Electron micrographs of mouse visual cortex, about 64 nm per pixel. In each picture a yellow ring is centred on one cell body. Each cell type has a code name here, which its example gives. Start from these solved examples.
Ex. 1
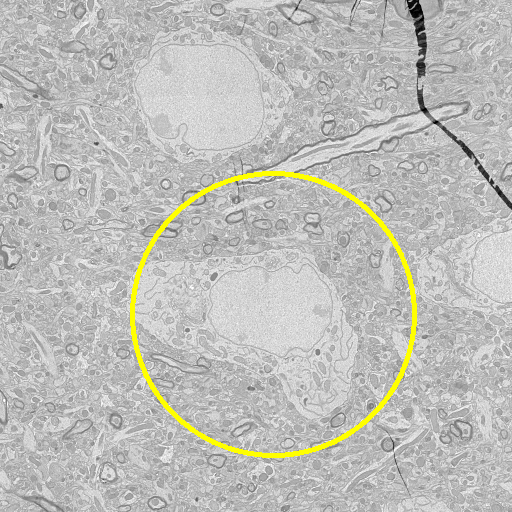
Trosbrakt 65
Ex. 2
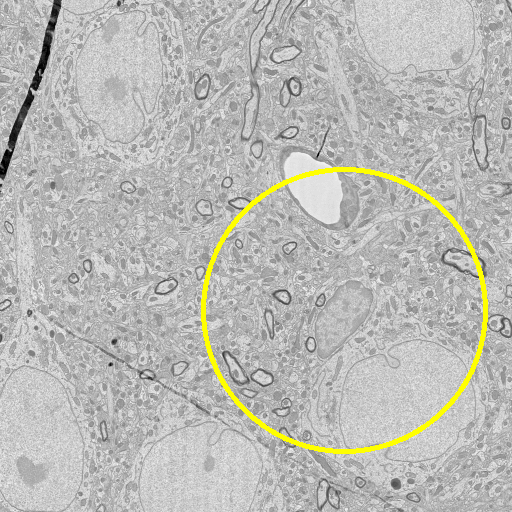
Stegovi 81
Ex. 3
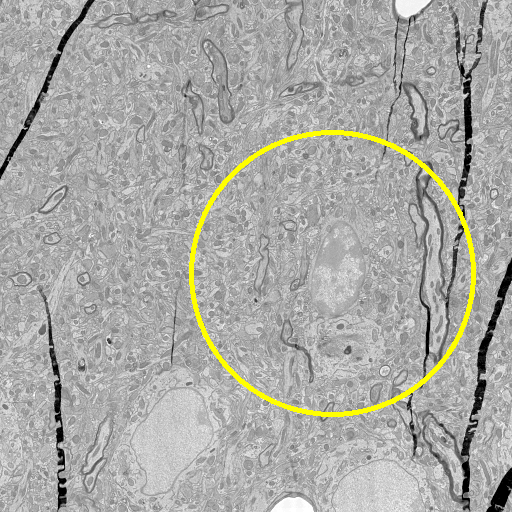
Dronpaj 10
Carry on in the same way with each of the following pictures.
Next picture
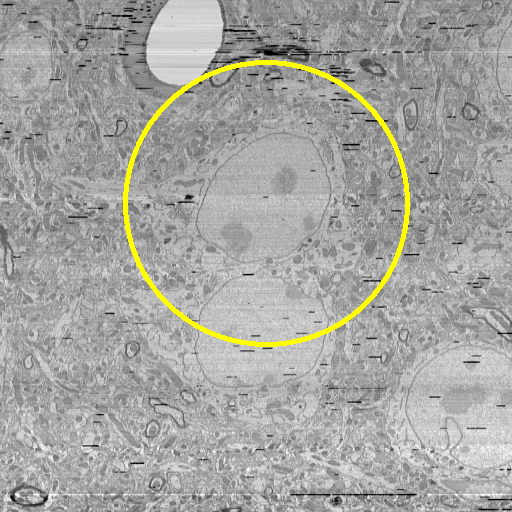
Trosbrakt 65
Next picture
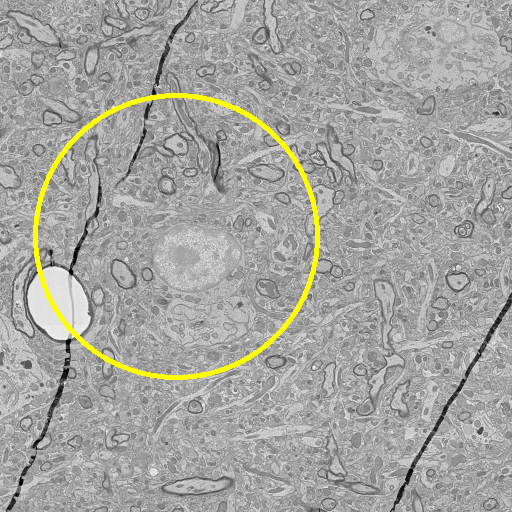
Dronpaj 10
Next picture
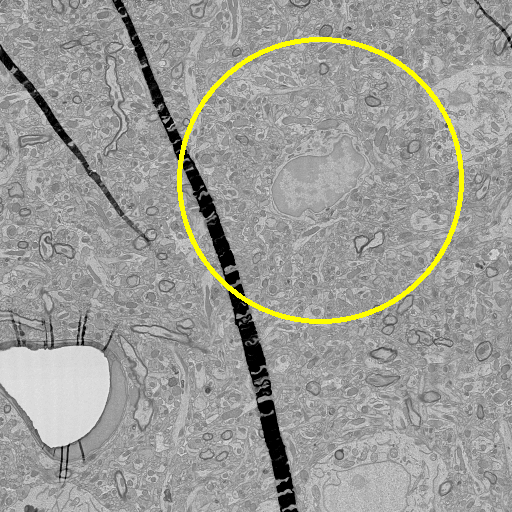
Stegovi 81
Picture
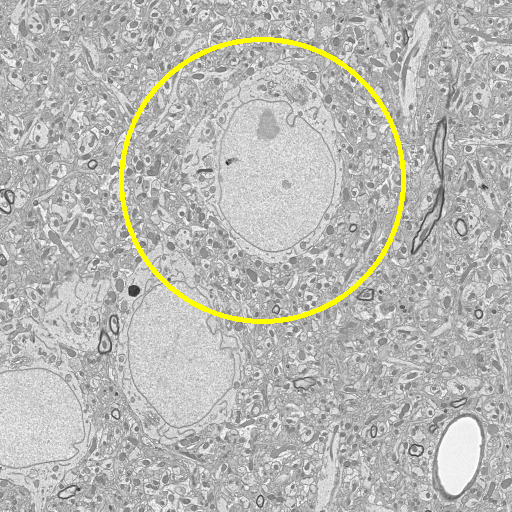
Trosbrakt 65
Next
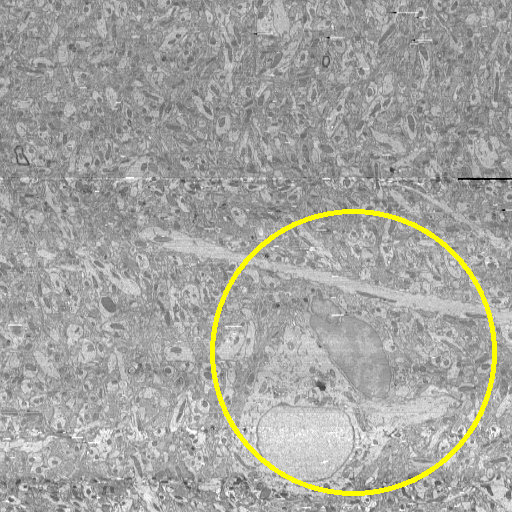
Stegovi 81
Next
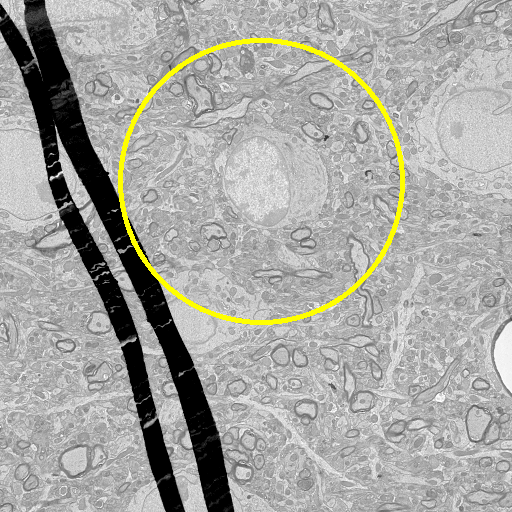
Dronpaj 10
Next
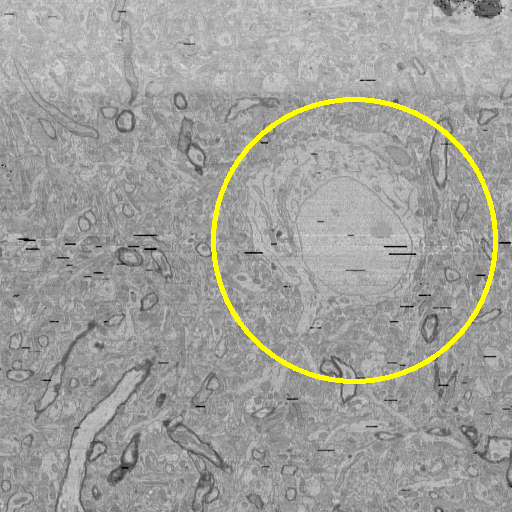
Trosbrakt 65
